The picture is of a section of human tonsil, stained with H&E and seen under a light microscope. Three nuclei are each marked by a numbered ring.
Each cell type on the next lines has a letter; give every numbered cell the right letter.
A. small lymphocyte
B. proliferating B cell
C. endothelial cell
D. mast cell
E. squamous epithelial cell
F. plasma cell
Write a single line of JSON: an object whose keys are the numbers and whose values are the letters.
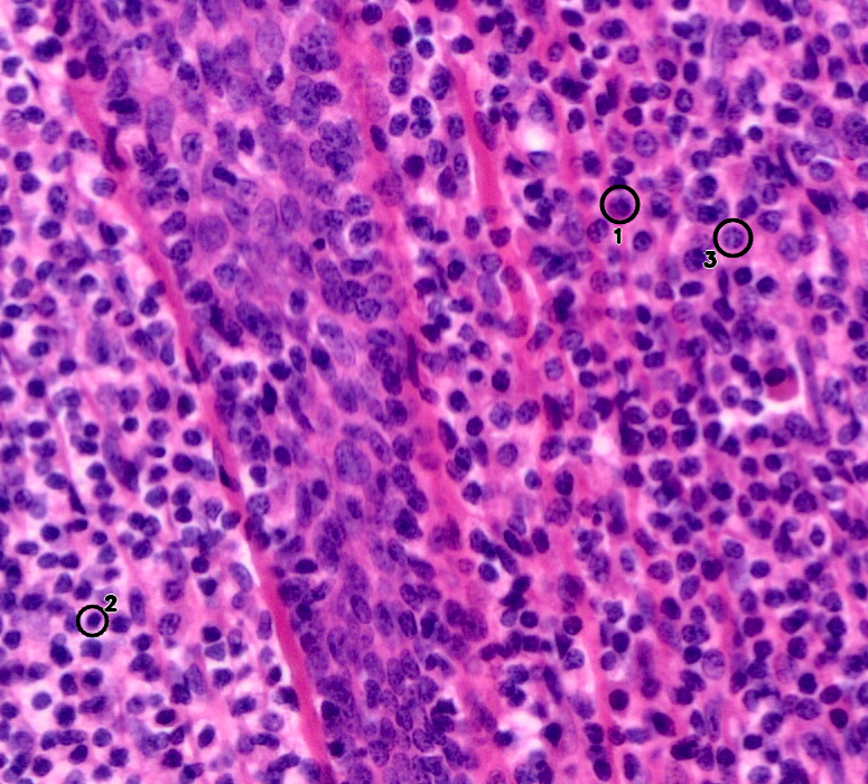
{"1": "F", "2": "A", "3": "F"}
